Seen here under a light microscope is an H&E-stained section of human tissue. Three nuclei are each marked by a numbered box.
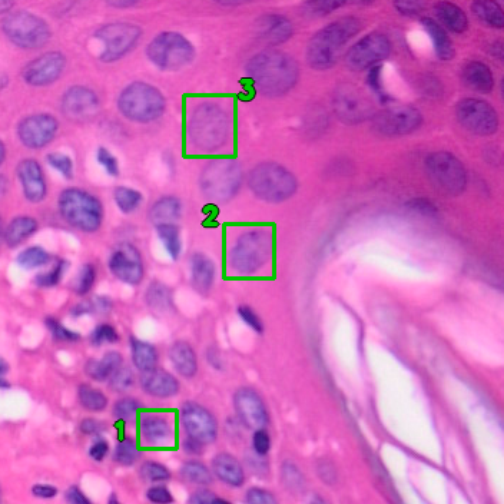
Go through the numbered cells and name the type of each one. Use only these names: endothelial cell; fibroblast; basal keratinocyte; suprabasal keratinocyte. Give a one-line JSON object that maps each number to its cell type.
{"1": "basal keratinocyte", "2": "suprabasal keratinocyte", "3": "suprabasal keratinocyte"}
